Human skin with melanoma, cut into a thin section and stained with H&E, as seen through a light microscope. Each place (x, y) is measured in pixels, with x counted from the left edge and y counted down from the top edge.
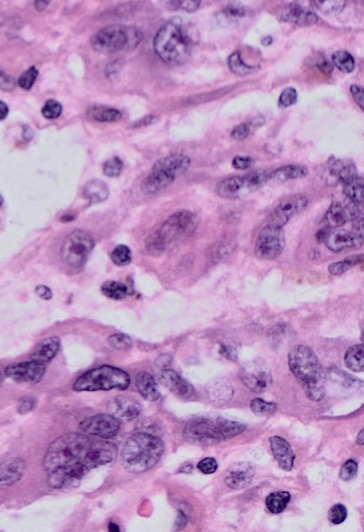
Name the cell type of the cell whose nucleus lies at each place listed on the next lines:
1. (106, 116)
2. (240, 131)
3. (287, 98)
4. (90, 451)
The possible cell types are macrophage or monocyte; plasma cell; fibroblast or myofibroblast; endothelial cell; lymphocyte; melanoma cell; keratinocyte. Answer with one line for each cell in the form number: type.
1: macrophage or monocyte
2: macrophage or monocyte
3: lymphocyte
4: melanoma cell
